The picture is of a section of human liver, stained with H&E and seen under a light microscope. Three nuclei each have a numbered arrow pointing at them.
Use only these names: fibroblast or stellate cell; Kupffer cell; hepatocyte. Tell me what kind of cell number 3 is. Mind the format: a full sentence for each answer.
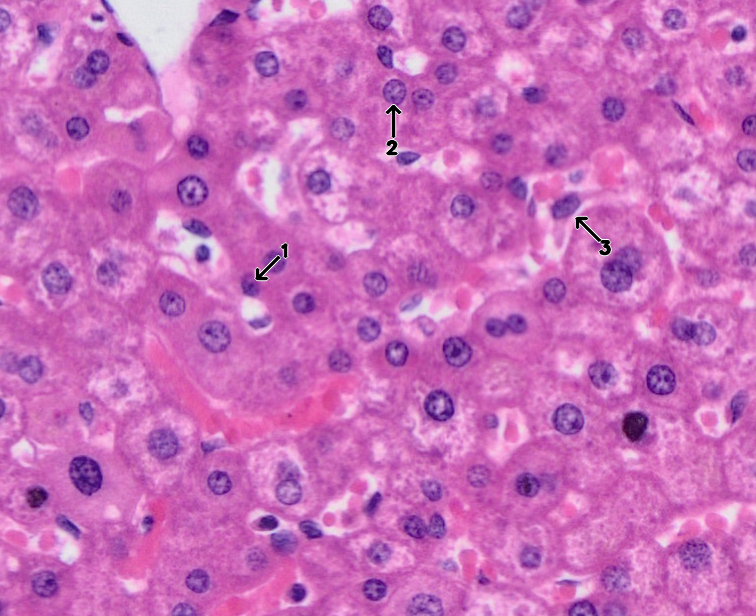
Number 3 is placed on a Kupffer cell here.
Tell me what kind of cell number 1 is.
The marked cell with the number 1 is recognised as a fibroblast or stellate cell.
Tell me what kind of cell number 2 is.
Recognised here as a hepatocyte is the cell numbered 2.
